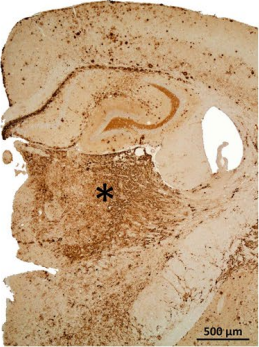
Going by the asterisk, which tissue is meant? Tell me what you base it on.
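The asterisk sits in a large deep region below the hippocampus. That region is stained densely brown, darker than the cortex above. On this evidence: thalamus.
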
